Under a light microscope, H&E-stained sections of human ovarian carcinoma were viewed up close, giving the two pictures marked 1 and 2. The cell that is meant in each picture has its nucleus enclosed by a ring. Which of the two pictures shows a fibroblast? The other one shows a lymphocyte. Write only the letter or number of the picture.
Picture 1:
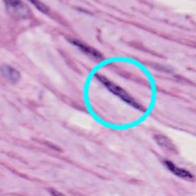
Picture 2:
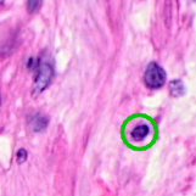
1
